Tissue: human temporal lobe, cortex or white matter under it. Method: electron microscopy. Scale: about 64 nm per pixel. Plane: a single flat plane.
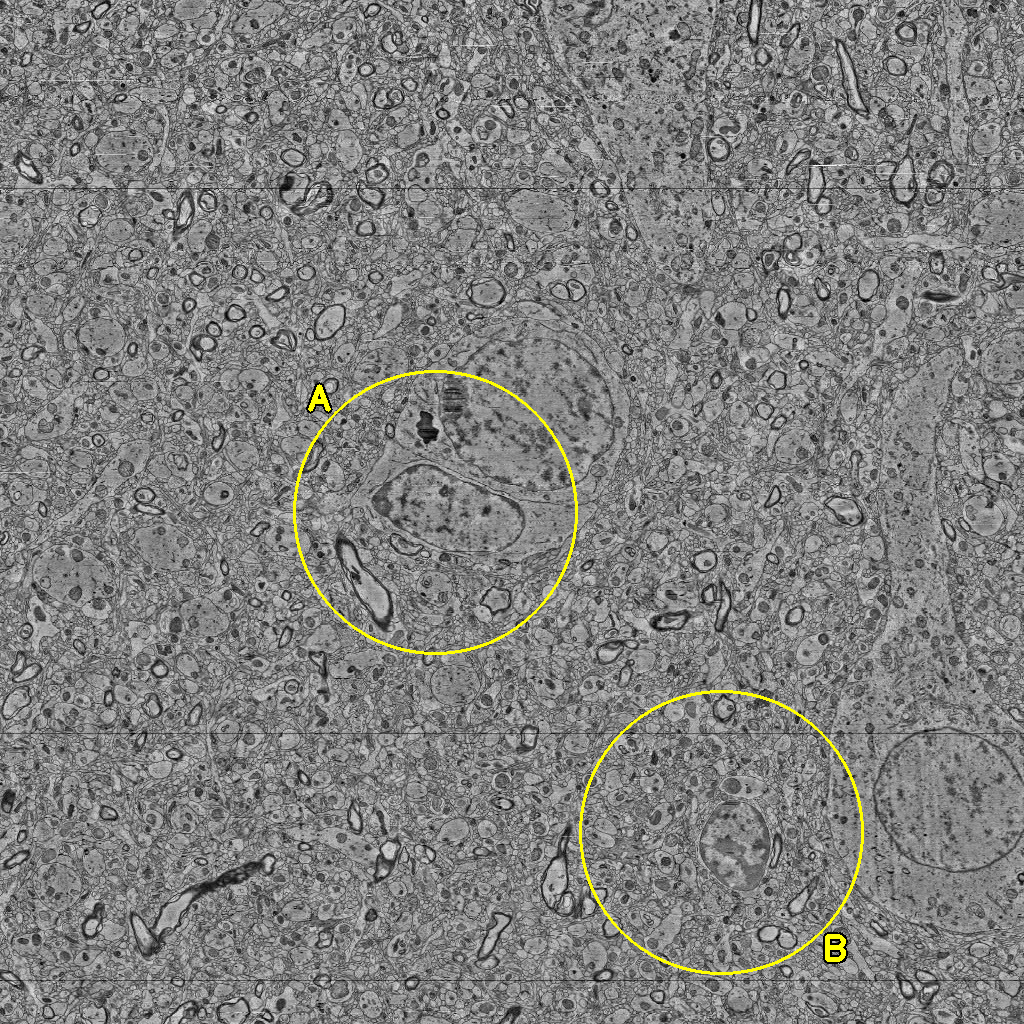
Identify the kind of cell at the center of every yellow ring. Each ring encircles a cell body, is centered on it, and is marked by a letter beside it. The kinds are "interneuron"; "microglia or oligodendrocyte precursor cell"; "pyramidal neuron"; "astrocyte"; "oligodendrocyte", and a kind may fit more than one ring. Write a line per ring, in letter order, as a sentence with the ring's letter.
The cell centered in ring A is a microglial cell or oligodendrocyte precursor cell.
The cell centered in ring B is a microglial cell or oligodendrocyte precursor cell.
